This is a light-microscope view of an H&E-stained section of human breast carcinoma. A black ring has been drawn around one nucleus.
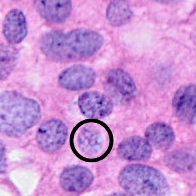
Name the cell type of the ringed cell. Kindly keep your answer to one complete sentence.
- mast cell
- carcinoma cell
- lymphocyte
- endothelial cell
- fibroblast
Within this tissue, the ringed cell is a carcinoma cell.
